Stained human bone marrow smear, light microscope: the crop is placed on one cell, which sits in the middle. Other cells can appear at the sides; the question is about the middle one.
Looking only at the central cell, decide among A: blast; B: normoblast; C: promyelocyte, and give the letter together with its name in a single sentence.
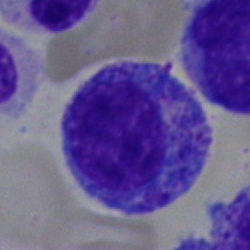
Answer key: option C, the middle cell being a promyelocyte.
